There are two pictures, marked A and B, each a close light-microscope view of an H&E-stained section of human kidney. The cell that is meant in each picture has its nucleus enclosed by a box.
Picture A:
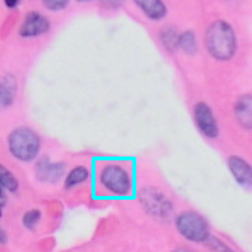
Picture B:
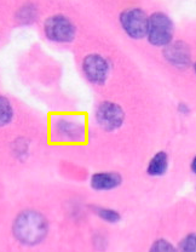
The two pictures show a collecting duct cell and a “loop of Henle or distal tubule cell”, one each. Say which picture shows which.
A: collecting duct cell
B: loop of Henle or distal tubule cell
